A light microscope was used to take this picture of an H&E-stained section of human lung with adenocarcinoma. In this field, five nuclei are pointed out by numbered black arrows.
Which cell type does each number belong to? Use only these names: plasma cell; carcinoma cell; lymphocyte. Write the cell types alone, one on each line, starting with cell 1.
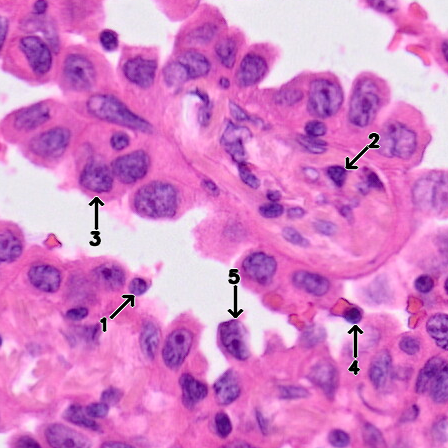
lymphocyte
plasma cell
carcinoma cell
lymphocyte
carcinoma cell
